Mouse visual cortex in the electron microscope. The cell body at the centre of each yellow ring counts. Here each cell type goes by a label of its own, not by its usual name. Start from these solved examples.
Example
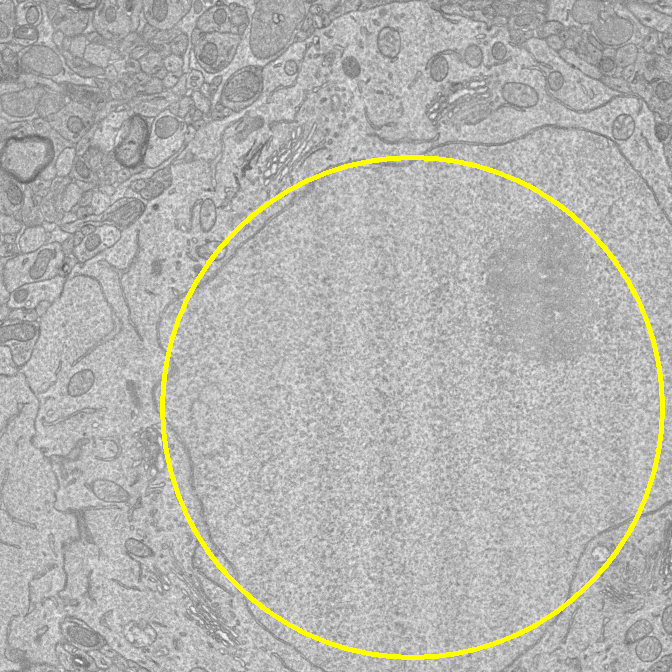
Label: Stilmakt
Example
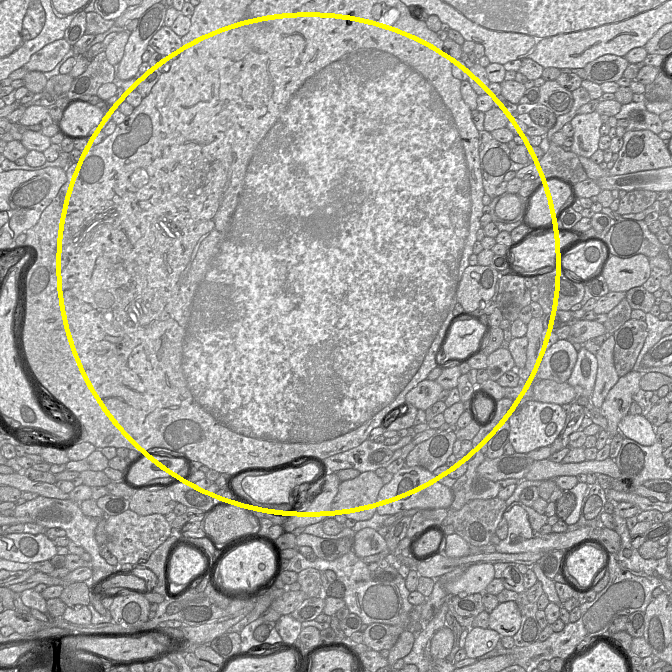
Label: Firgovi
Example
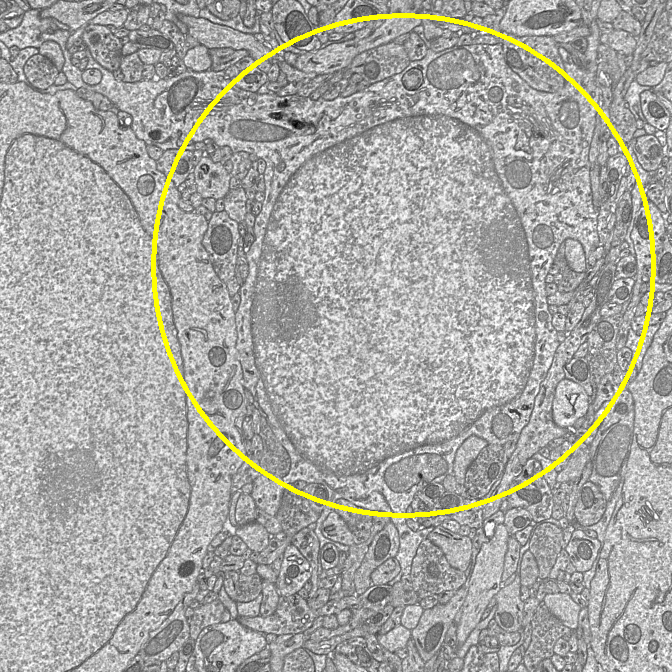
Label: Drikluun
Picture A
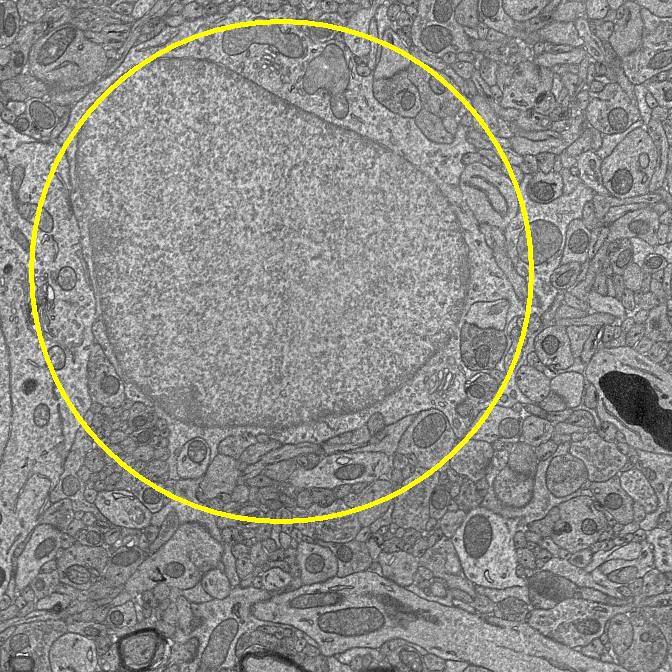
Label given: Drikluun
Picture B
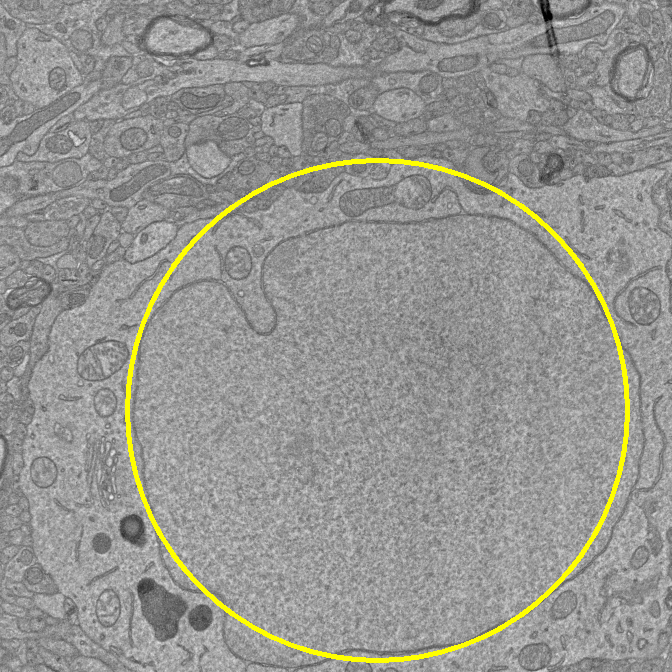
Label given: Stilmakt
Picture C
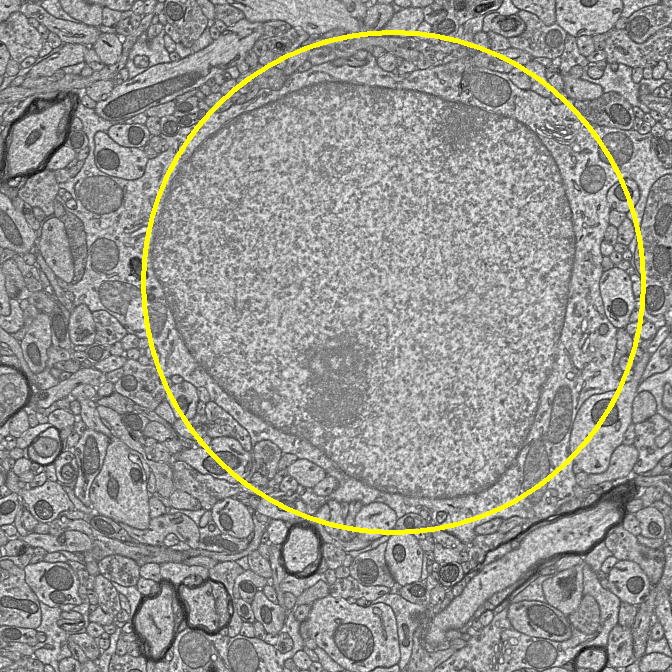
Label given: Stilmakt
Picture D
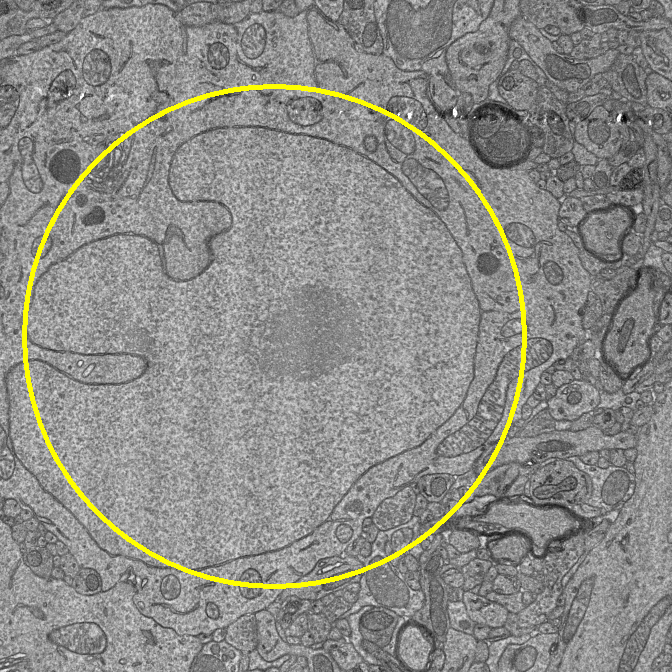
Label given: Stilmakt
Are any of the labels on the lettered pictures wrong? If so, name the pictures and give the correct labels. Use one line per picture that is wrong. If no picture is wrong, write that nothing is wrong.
Wrong: C (Stilmakt); correct: Drikluun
